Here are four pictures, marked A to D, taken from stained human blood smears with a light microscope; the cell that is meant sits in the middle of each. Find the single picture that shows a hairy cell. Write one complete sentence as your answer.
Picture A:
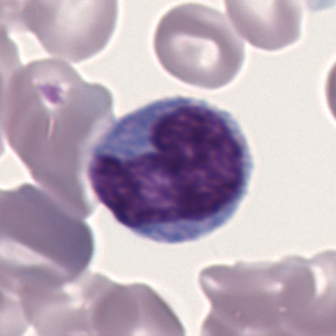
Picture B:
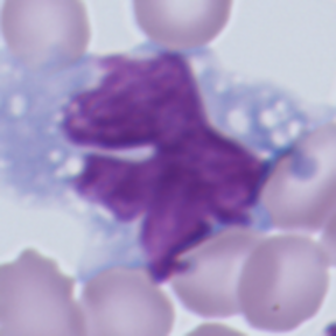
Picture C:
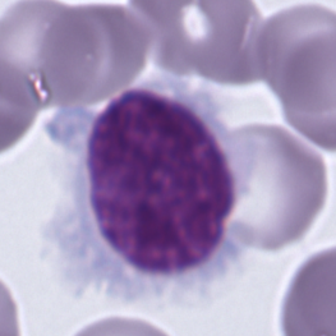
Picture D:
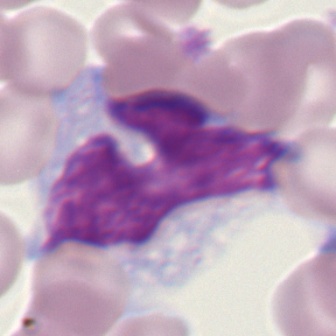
The hairy cell is the one in picture C.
